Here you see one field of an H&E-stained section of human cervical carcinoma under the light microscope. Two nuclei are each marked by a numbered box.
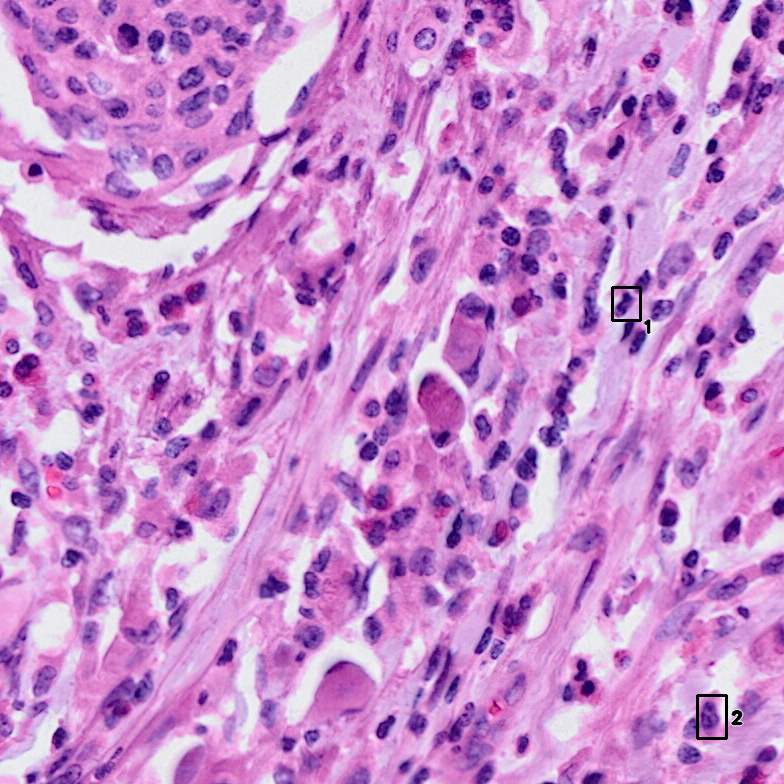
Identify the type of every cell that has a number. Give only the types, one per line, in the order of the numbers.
lymphocyte
macrophage or monocyte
